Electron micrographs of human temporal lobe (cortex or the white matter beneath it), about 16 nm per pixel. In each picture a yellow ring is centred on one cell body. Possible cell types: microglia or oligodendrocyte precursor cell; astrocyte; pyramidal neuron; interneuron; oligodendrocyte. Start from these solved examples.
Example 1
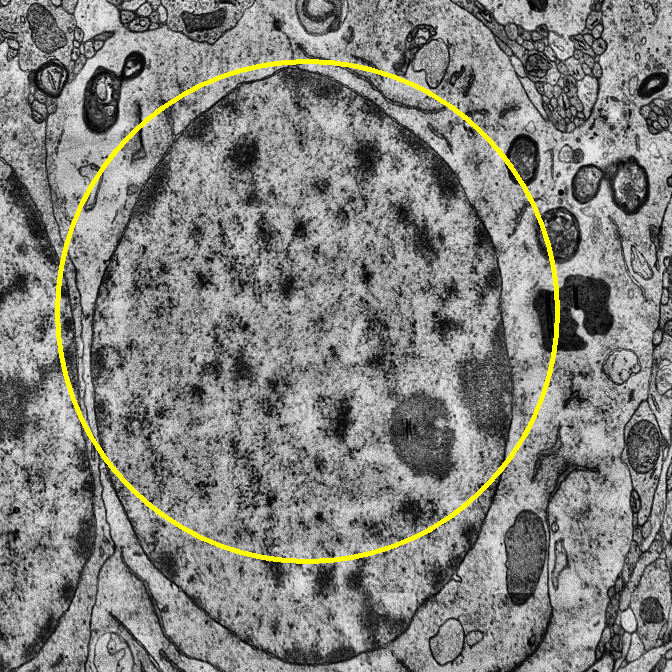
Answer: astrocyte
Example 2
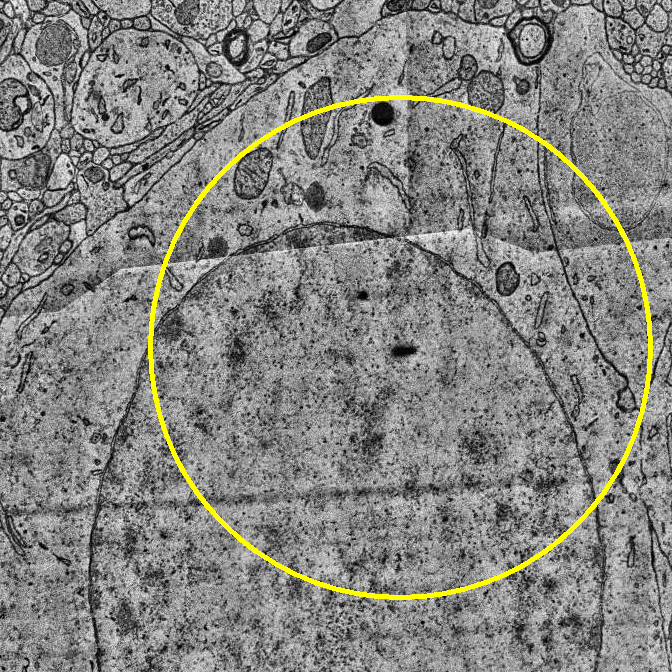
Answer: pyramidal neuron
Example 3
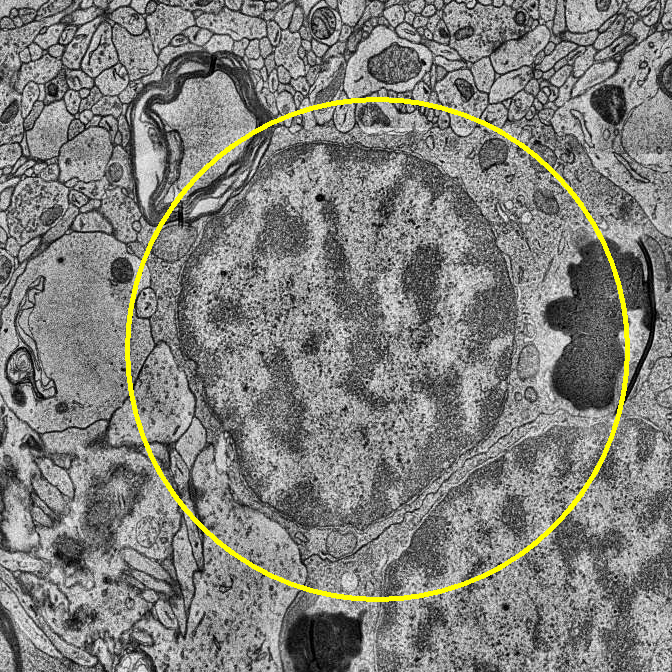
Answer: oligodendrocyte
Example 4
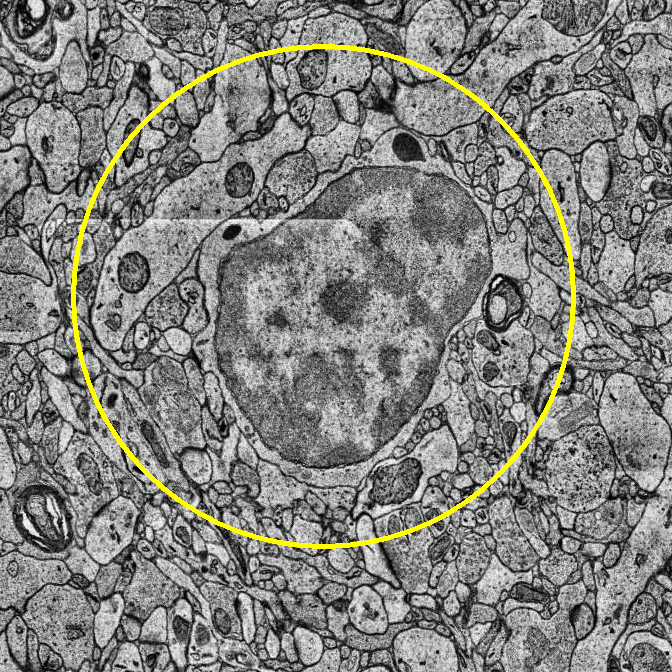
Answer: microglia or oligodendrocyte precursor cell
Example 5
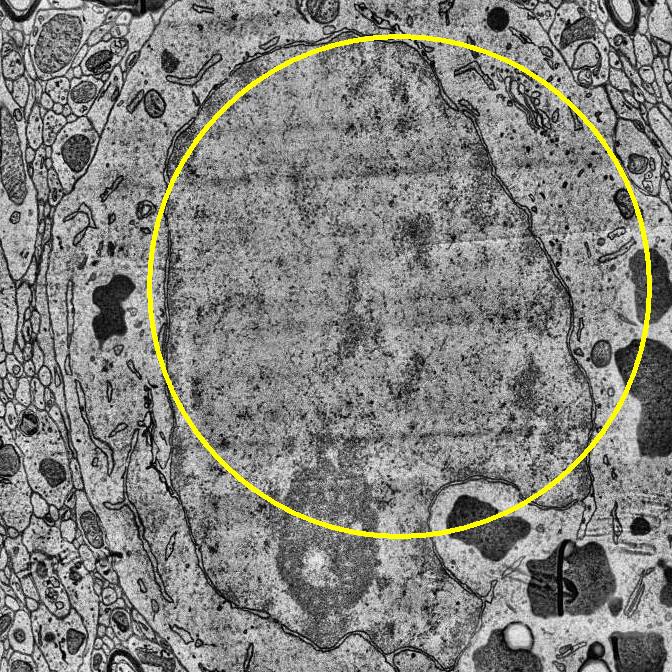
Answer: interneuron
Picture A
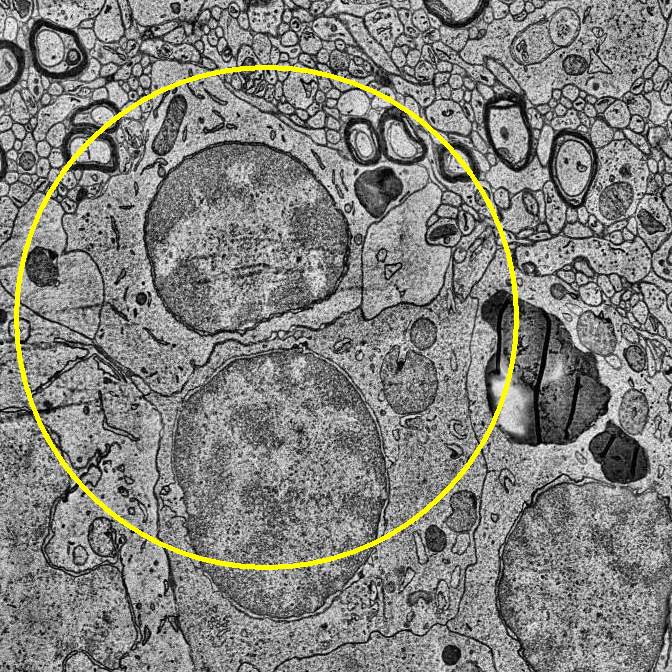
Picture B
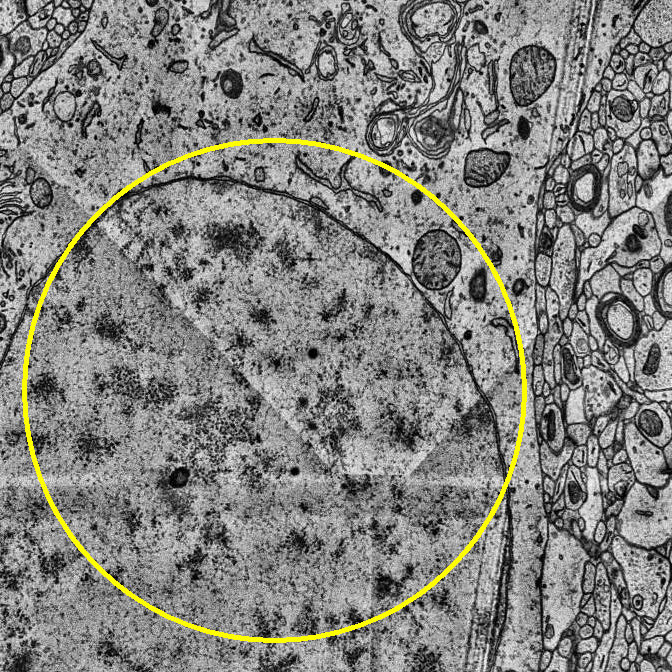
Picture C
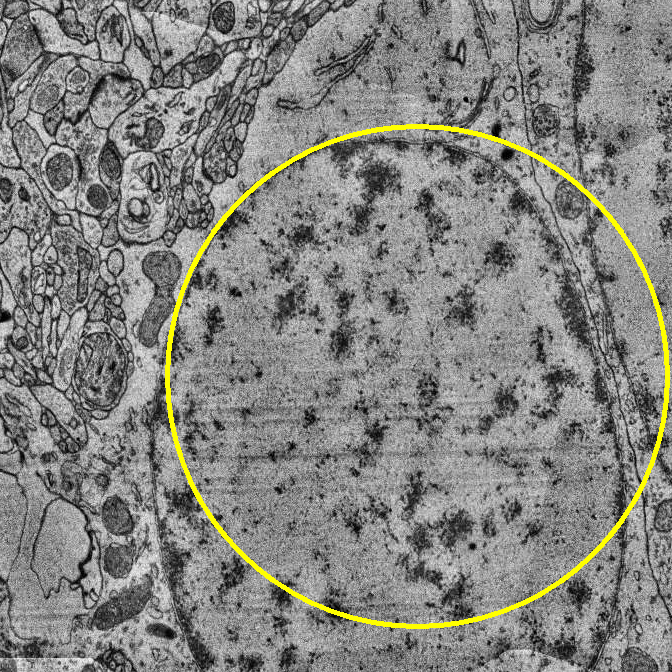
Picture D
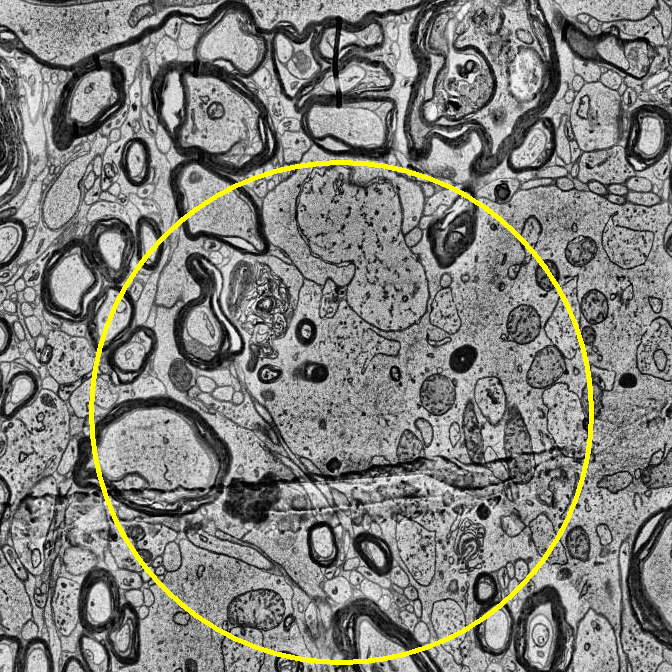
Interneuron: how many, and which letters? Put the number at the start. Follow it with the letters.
0, none of them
